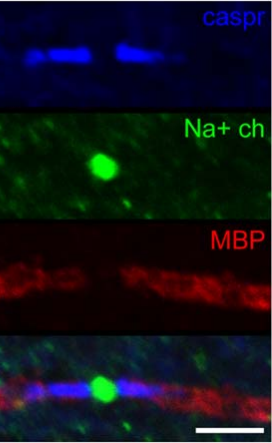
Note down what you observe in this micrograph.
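A horizontal axon carries two red sheath segments that stop short of each other. In the gap sits one small round green dot, flanked closely on each side by a blue segment that abuts the sheath ends. This is a node of Ranvier with a paranode on either side.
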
